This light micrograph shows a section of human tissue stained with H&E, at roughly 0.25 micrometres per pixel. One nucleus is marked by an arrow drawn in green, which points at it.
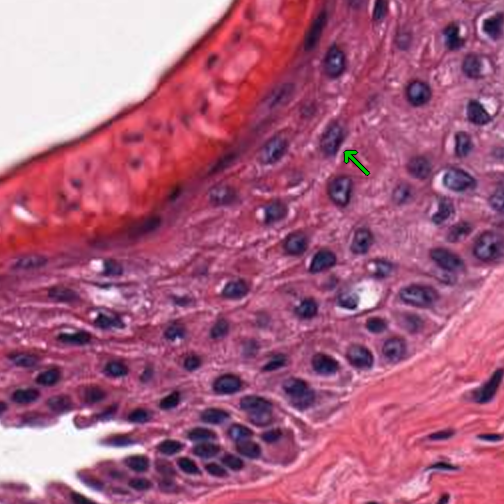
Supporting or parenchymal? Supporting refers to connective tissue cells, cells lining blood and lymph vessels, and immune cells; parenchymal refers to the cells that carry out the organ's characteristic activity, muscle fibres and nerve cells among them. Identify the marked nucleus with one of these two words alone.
parenchymal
